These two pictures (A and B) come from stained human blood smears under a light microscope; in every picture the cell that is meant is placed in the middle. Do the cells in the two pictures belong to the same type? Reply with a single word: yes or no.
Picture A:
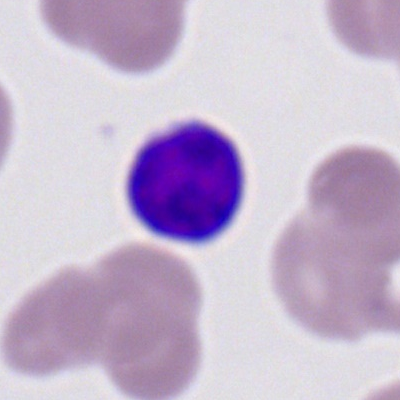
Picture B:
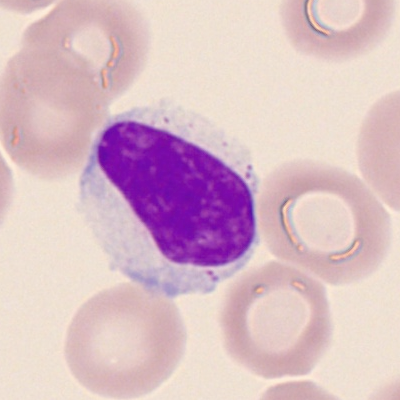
yes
